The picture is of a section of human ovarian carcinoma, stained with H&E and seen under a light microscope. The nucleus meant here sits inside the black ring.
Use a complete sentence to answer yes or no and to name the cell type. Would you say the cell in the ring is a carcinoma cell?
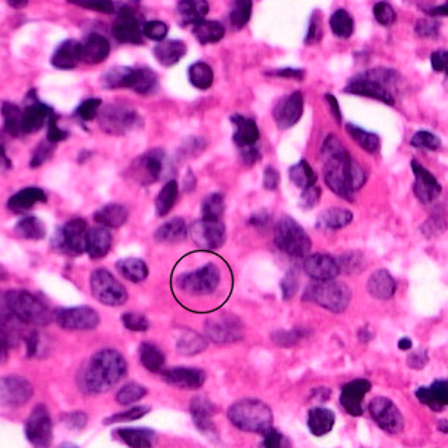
No, the cell in the ring is simply a macrophage or monocyte rather than a carcinoma cell.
